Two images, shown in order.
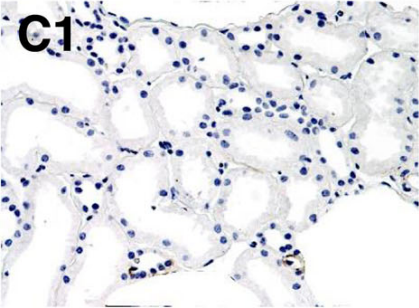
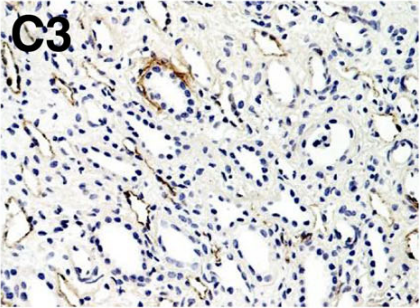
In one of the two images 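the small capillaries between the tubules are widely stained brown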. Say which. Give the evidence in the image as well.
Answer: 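The second image. Second image: many thin brown capillary profiles lie between the tubules throughout the field. First image: the spaces between tubules are almost without brown, only a few faint spots.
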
